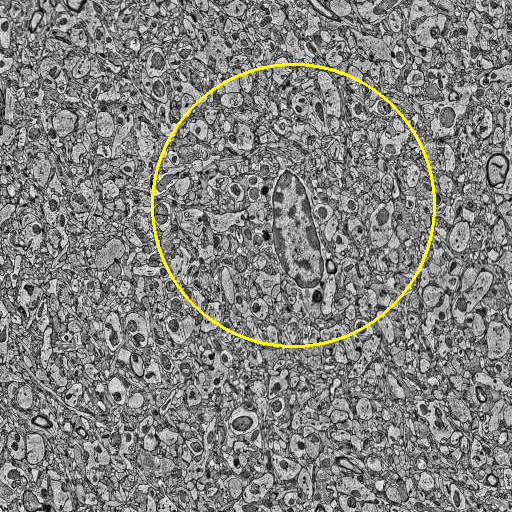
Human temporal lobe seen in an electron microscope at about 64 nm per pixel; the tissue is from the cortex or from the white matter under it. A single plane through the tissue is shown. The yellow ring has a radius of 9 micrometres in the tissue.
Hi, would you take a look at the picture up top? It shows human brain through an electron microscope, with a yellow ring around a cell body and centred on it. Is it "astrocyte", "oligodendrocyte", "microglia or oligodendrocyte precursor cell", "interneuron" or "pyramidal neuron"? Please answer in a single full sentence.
The best fit for the cell in the middle of the ring is a microglial cell or oligodendrocyte precursor cell, I reckon.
